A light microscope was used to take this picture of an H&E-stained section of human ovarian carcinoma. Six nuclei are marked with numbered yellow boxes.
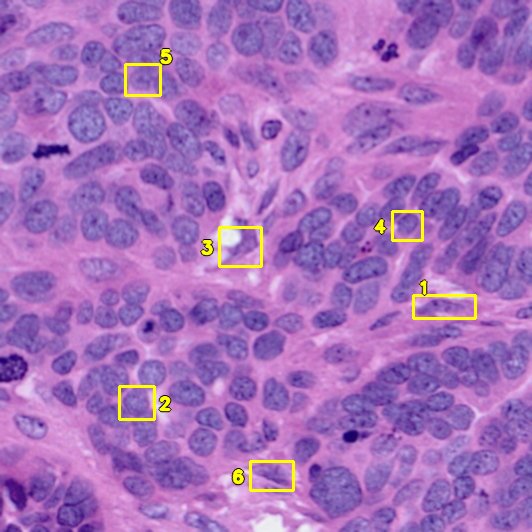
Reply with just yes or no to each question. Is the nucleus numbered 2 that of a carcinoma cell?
yes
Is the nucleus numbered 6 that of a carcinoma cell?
no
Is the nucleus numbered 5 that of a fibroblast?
no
